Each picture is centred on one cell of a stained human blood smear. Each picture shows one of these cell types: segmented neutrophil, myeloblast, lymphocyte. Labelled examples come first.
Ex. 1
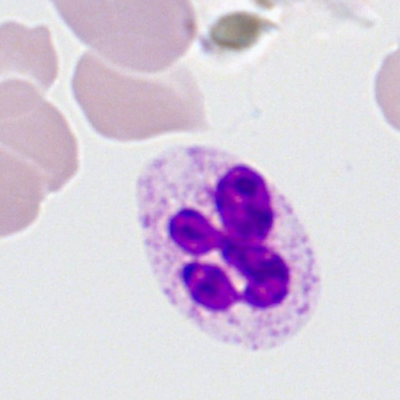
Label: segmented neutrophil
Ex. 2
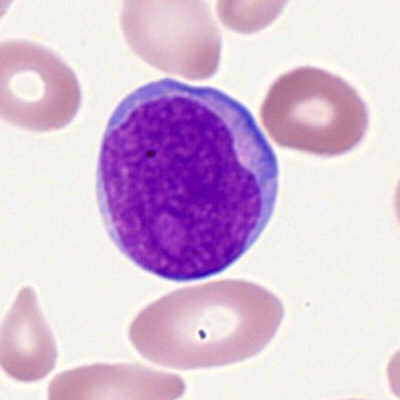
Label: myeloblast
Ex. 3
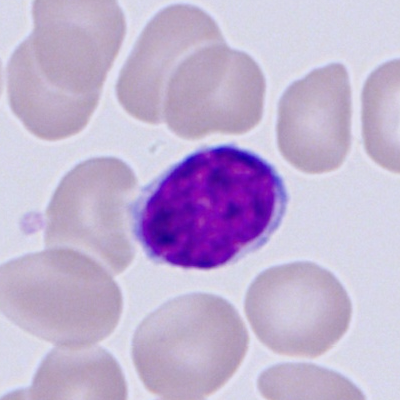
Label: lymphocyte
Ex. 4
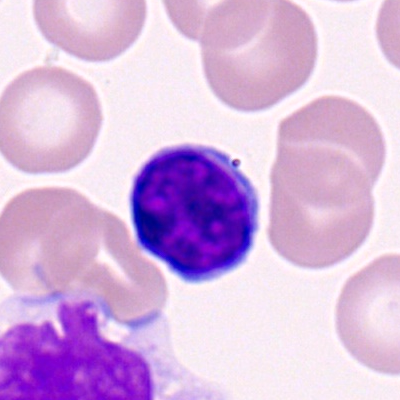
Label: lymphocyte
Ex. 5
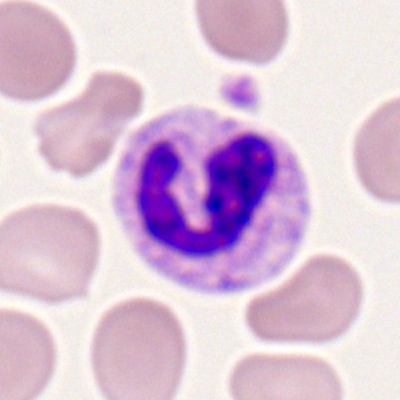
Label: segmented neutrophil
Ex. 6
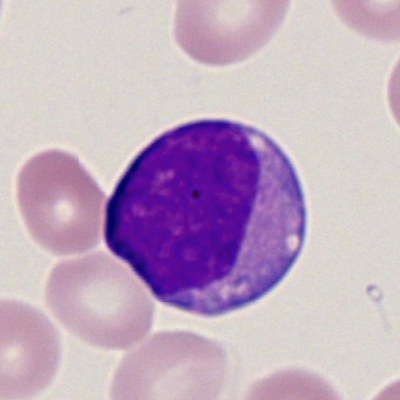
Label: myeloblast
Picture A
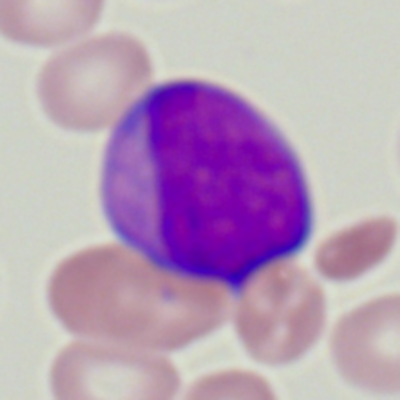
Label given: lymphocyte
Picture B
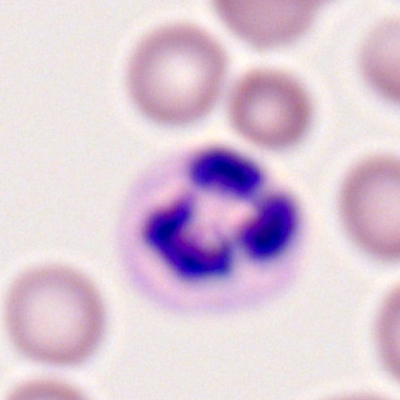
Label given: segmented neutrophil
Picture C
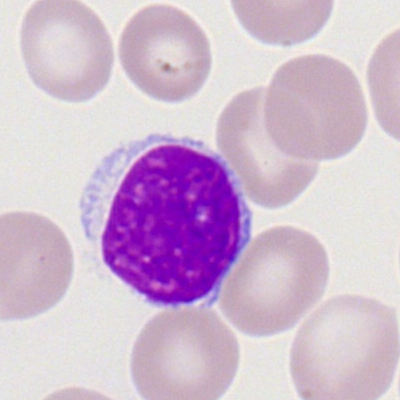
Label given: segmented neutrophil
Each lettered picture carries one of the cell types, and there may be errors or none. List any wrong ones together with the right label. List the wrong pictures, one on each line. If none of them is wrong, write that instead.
A: not lymphocyte but myeloblast
C: not segmented neutrophil but lymphocyte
